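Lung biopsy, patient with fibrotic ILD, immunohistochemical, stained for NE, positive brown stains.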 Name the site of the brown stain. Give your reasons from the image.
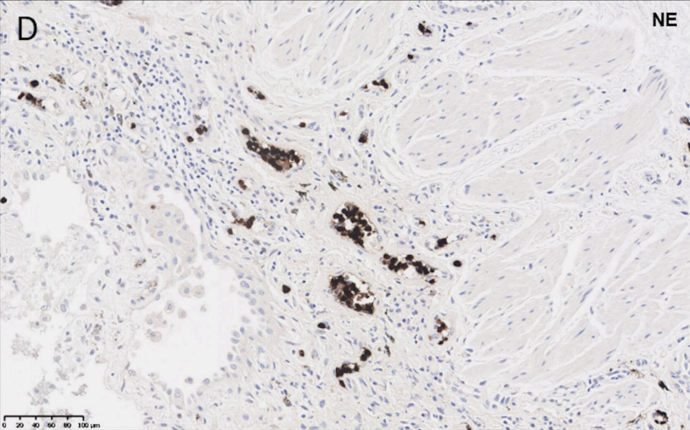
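Dense clusters of dark brown cells fill round lumen-like spaces. The brown clusters are surrounded by a thin wall of flattened cells.
Hence: within blood vessels.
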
